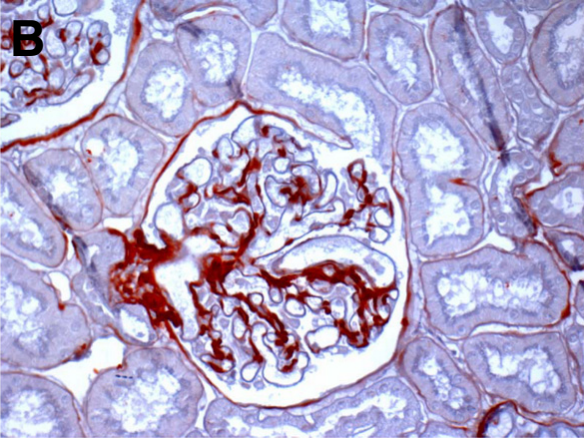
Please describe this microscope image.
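A kidney glomerulus among tubules, with dense red stain in branching central strands of the tuft and at the vascular pole, while the thin outer loop walls are only faintly stained. The surrounding tubules are lined by pale cuboidal epithelium, with red stain along some basement membranes.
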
